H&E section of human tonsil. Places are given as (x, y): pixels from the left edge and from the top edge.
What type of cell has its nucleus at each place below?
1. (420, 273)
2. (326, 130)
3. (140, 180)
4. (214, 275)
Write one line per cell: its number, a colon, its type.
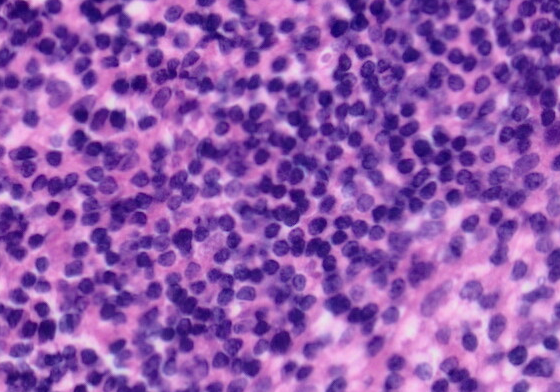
1: proliferating B cell
2: small lymphocyte
3: small lymphocyte
4: small lymphocyte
